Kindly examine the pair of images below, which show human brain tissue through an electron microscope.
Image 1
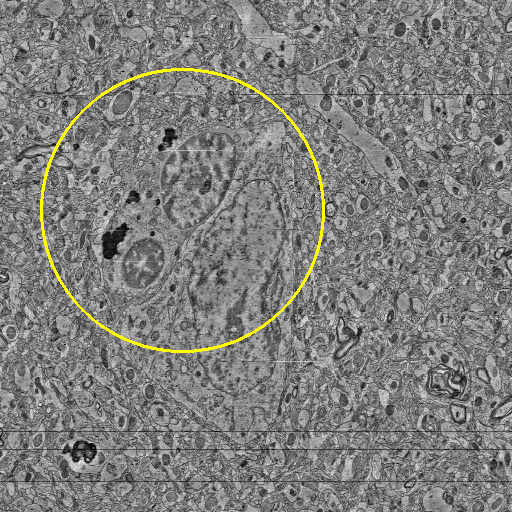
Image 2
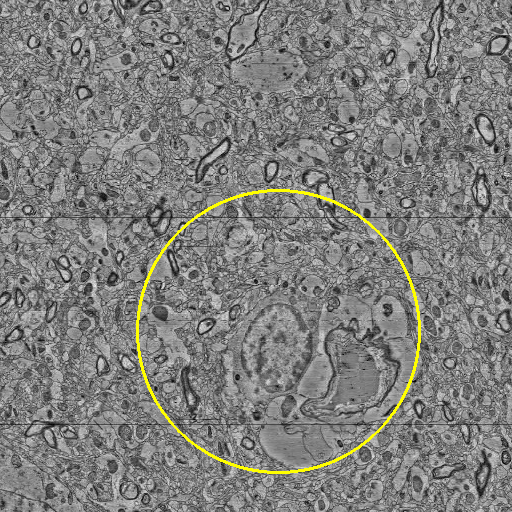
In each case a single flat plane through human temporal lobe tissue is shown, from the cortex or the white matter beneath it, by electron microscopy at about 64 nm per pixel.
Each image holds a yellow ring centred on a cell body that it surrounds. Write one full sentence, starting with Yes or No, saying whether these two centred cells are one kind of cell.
Yes, both cells at the centres of the yellow rings belong to one kind of cell.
